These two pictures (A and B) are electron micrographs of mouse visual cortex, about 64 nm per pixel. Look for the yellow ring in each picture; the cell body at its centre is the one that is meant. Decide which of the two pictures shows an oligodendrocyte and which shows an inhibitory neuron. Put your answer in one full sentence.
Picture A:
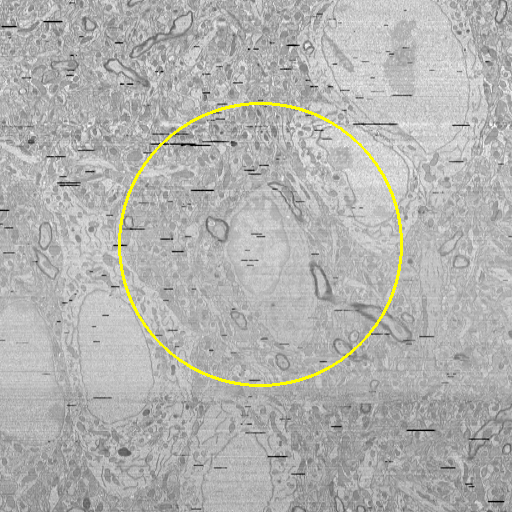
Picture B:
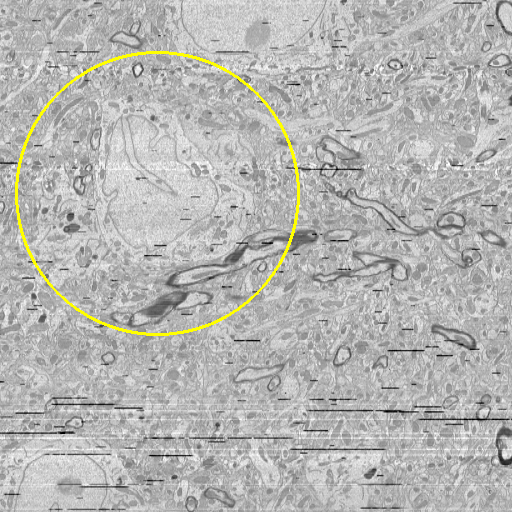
Picture A is of an oligodendrocyte, and picture B is of an inhibitory neuron.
